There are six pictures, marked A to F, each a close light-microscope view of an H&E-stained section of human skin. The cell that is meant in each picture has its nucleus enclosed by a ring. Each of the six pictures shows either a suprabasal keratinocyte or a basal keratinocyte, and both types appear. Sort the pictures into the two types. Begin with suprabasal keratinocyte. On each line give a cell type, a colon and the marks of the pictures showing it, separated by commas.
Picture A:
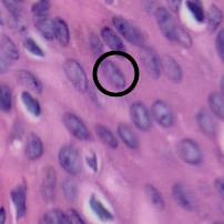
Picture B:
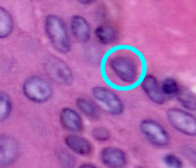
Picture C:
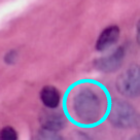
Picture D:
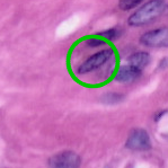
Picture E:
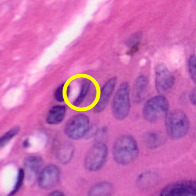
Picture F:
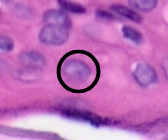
suprabasal keratinocyte: A, F
basal keratinocyte: B, C, D, E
